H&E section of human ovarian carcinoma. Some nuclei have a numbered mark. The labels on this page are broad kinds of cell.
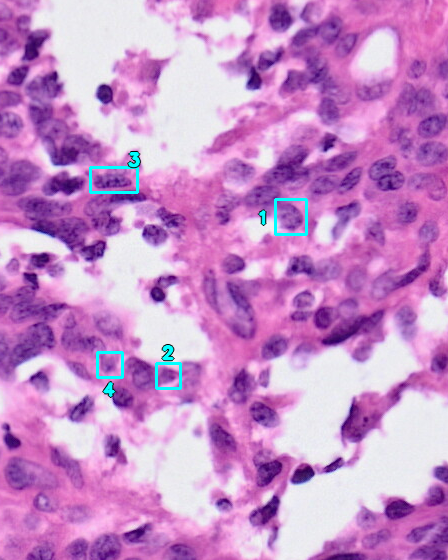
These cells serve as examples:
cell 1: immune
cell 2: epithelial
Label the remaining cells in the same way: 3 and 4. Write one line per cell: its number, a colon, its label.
3: immune
4: immune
